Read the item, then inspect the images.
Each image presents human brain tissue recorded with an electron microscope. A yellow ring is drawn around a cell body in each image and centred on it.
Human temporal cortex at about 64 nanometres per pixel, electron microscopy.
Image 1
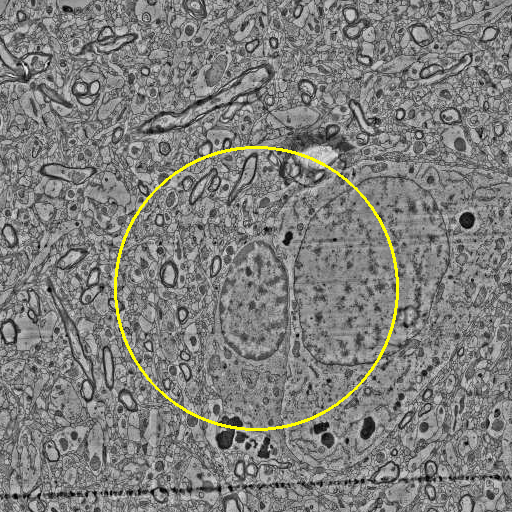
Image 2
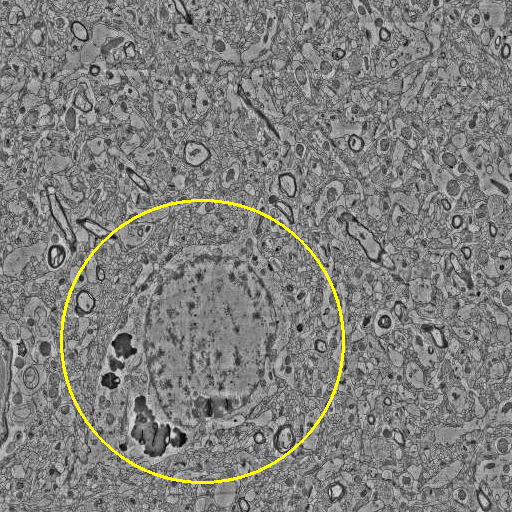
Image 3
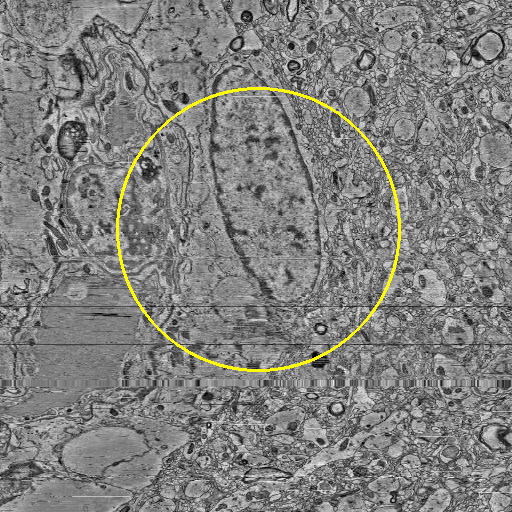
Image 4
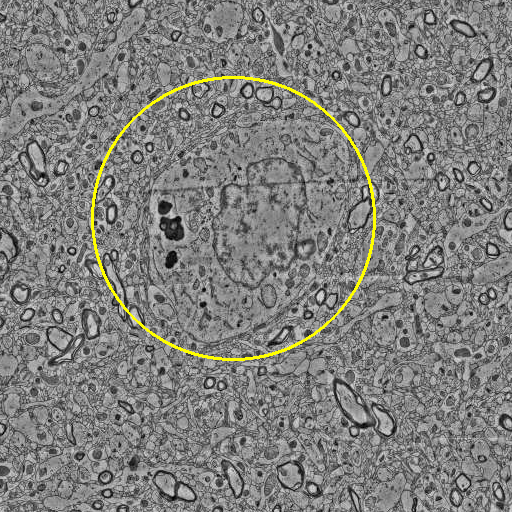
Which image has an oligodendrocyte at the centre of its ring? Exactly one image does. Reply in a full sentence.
The ring in Image 1 is centred on it.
